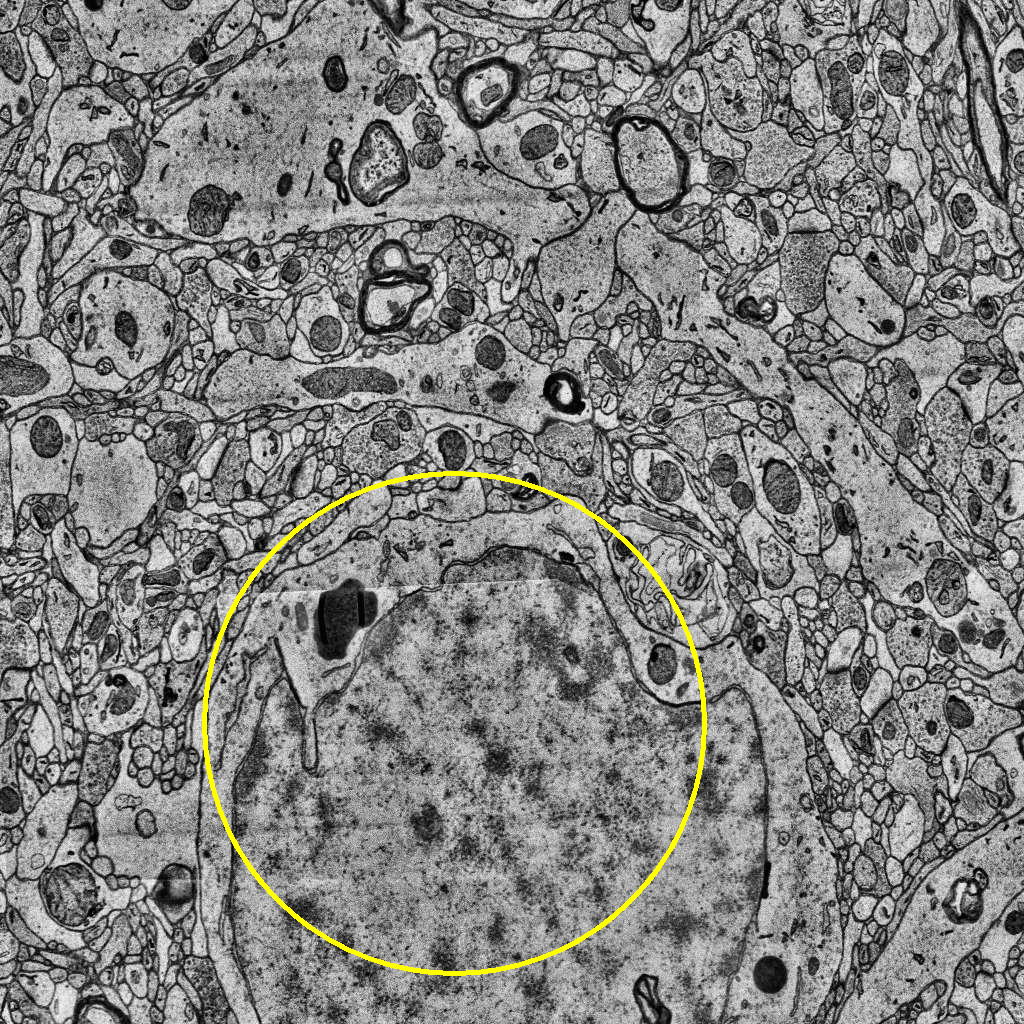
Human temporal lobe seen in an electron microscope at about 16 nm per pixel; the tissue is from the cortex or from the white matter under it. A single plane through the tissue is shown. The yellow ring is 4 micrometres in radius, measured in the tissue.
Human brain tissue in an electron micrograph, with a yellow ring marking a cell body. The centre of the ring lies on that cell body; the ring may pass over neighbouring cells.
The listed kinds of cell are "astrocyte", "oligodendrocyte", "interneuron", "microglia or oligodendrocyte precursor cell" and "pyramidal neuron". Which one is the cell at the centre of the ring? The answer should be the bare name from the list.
interneuron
